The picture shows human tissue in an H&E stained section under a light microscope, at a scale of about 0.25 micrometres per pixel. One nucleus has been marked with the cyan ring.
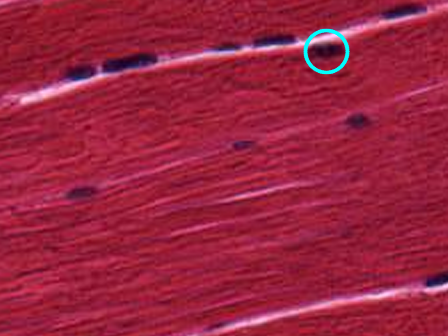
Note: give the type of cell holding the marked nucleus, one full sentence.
A nucleus belonging to a skeletal muscle fibre is the one marked.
